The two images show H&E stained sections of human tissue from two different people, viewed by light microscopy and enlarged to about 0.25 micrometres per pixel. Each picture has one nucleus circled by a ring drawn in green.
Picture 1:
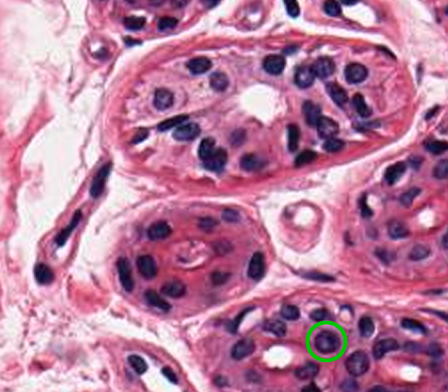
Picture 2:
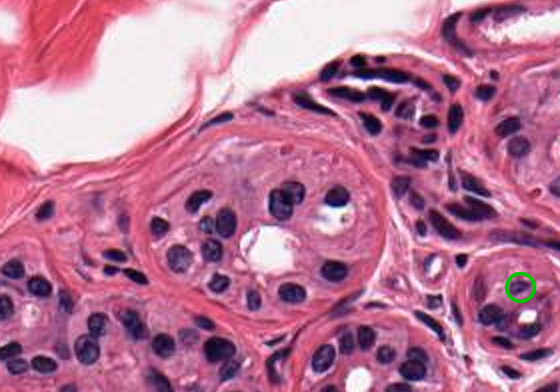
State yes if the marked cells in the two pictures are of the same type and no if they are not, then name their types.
Yes, both are sweat gland cells.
